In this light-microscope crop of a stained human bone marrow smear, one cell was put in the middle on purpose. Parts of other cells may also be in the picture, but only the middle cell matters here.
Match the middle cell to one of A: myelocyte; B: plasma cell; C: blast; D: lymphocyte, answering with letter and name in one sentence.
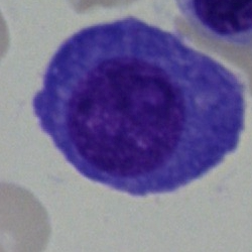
The cell shown centrally is a plasma cell; option B is the correct option.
